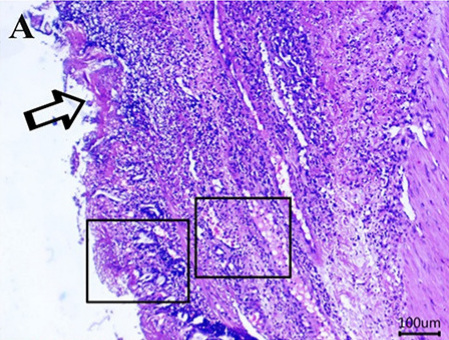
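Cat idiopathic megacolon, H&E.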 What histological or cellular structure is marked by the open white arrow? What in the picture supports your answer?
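The arrow points at a ragged pink layer on the mucosal surface. The underlying mucosa is densely infiltrated by dark-staining cells. So: diphtheritic membrane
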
